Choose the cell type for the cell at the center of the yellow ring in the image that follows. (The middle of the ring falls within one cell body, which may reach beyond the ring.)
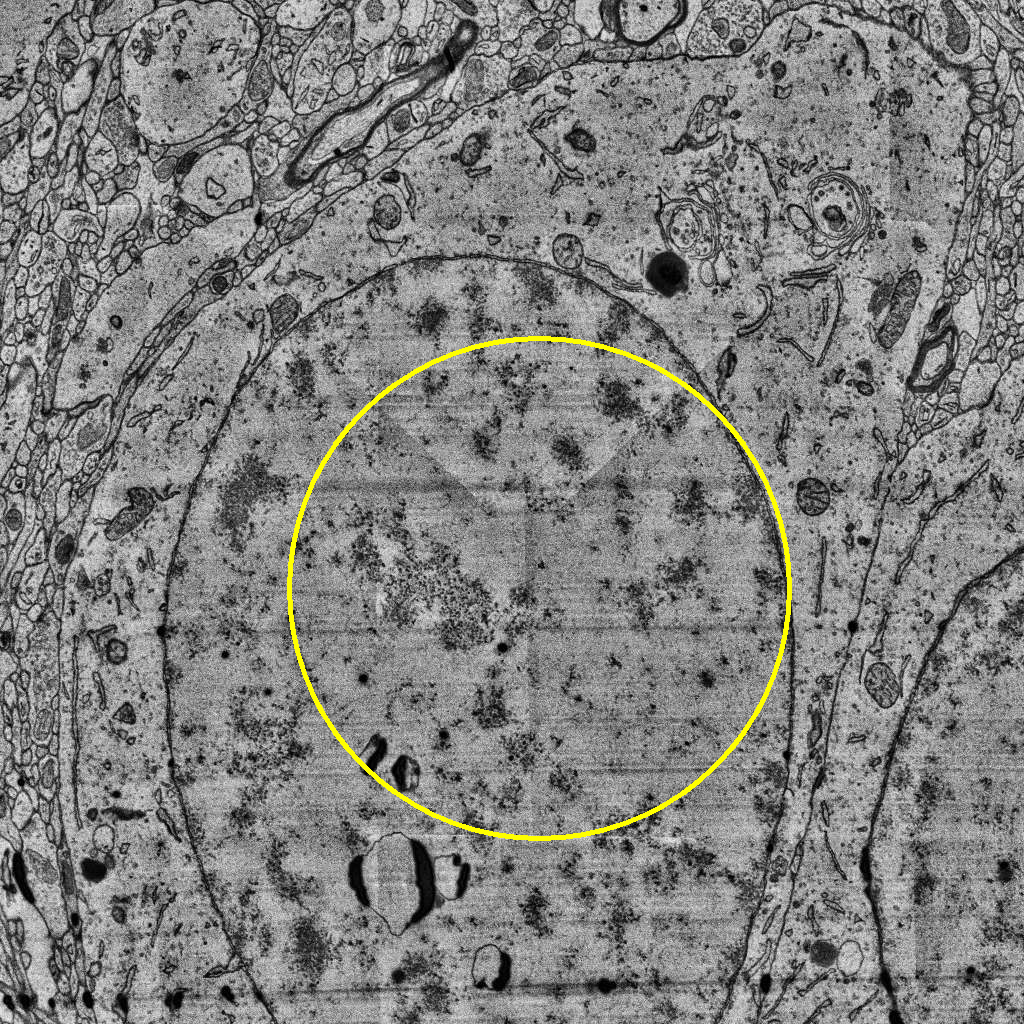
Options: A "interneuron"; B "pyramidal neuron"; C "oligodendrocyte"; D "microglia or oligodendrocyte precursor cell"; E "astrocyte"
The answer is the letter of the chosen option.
B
